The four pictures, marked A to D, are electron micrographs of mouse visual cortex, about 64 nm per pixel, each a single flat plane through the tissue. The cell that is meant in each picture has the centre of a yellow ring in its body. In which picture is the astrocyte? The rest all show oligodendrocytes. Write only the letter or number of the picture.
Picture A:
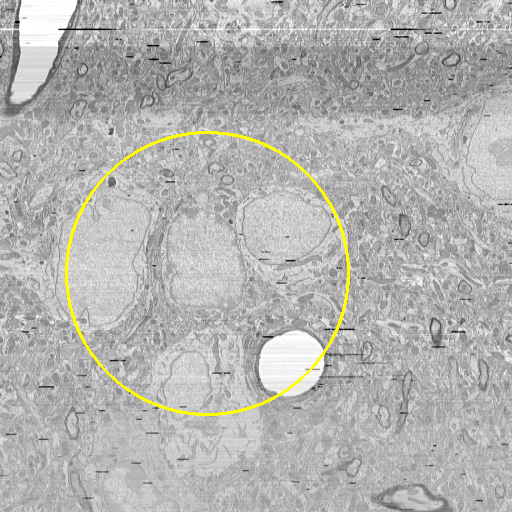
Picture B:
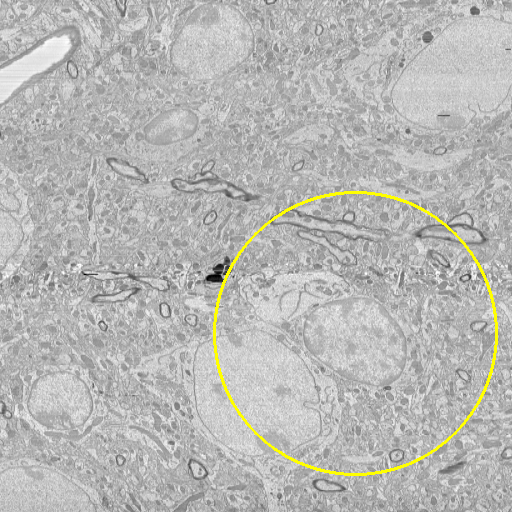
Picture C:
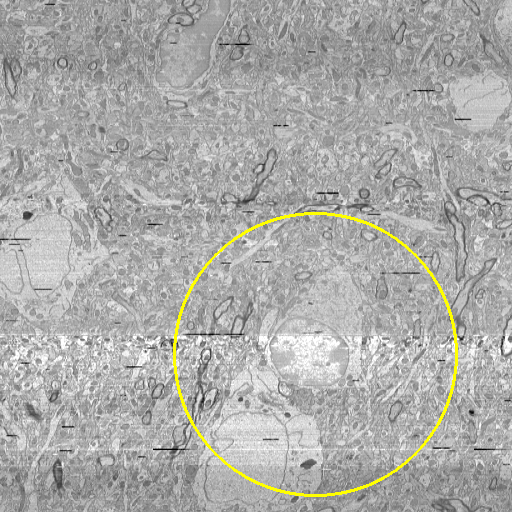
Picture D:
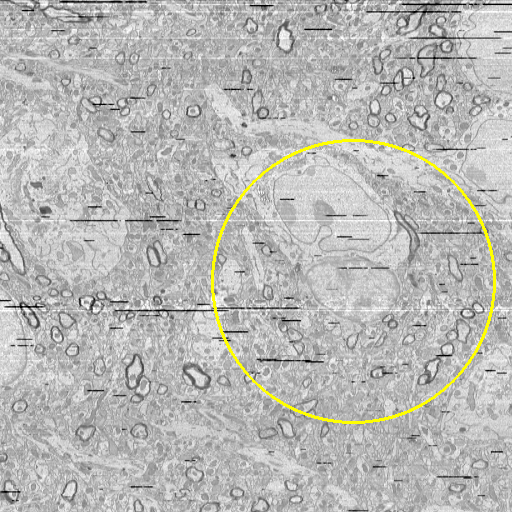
A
